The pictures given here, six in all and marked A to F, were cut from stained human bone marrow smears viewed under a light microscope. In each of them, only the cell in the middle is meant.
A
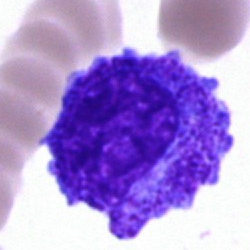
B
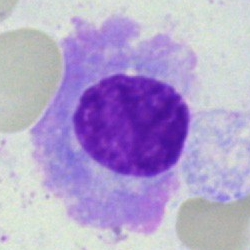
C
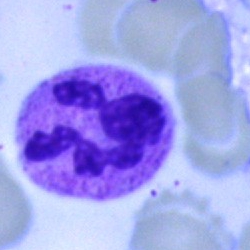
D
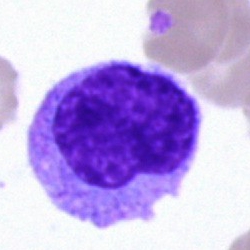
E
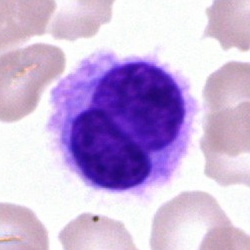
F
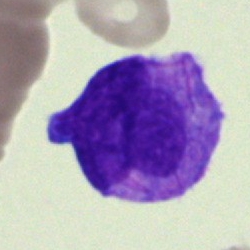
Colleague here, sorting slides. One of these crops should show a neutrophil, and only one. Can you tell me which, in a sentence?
The cell at the center of crop C is the one that is a neutrophil.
